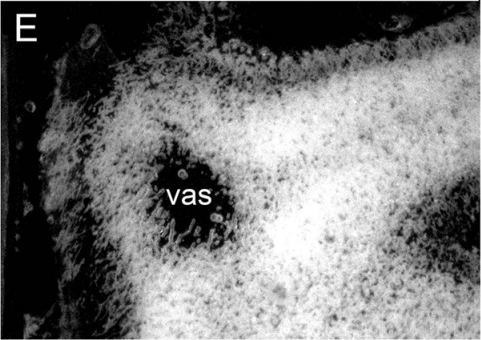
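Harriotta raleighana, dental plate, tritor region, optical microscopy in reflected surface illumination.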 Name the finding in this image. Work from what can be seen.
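Granular mineralization. The bright matrix has a speckled, grainy texture. The canal is surrounded directly by intense white speckled tissue.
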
